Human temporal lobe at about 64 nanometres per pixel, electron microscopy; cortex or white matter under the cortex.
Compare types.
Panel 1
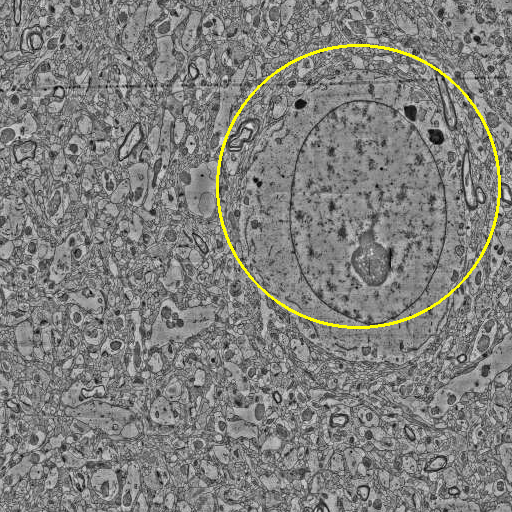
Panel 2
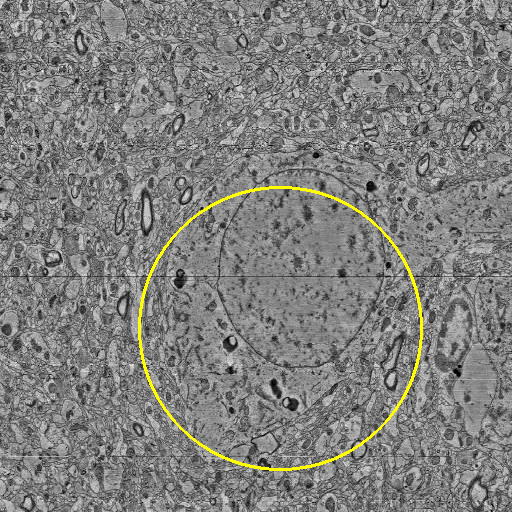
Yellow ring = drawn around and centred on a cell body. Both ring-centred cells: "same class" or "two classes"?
same class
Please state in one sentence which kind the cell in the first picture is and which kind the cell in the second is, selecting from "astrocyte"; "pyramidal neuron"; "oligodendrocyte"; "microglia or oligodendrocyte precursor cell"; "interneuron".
Each of the two rings surrounds a pyramidal neuron.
